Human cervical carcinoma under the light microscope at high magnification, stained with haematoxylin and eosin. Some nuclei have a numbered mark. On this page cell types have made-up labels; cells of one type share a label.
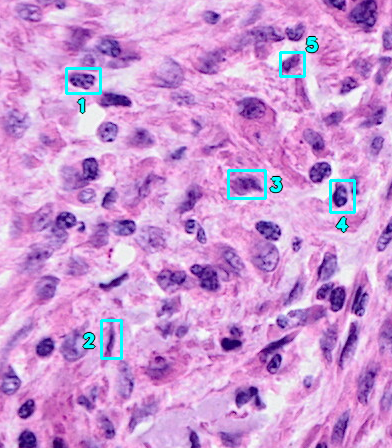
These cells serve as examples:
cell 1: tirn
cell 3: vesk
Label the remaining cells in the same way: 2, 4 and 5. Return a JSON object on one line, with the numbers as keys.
{"2": "vesk", "4": "tirn", "5": "vesk"}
